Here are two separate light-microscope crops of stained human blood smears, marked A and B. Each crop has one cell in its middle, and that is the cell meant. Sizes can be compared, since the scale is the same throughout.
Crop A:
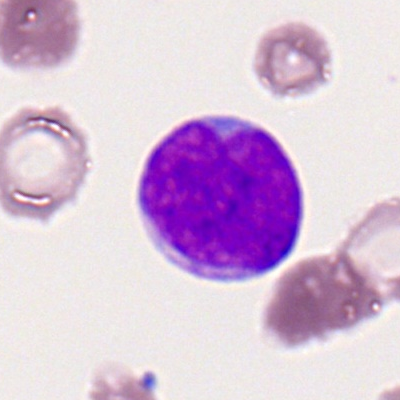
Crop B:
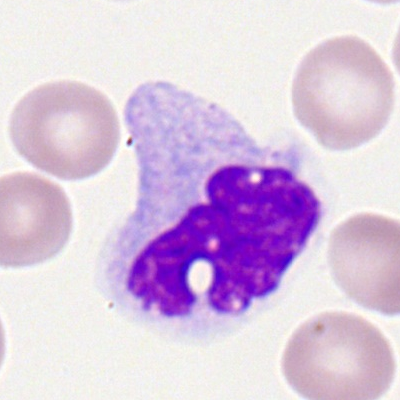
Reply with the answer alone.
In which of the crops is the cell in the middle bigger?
B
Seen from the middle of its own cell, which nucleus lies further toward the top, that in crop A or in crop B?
A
